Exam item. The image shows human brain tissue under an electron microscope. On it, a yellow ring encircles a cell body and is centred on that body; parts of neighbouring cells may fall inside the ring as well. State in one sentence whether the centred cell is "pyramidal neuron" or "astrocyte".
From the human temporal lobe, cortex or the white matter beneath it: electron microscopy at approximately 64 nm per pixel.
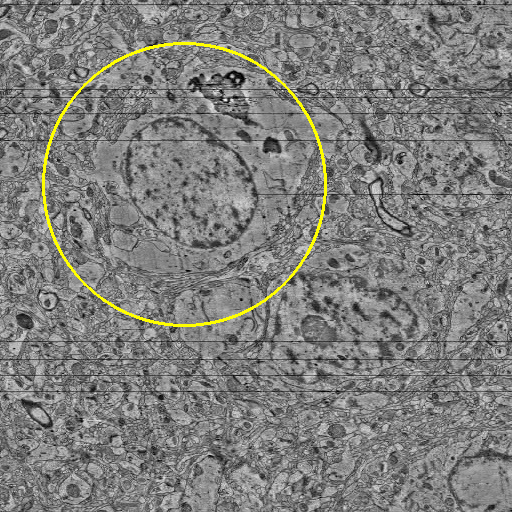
The cell body centred in the ring is an astrocyte.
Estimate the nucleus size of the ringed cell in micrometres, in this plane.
In this plane the nucleus is about 9 micrometres by 7.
